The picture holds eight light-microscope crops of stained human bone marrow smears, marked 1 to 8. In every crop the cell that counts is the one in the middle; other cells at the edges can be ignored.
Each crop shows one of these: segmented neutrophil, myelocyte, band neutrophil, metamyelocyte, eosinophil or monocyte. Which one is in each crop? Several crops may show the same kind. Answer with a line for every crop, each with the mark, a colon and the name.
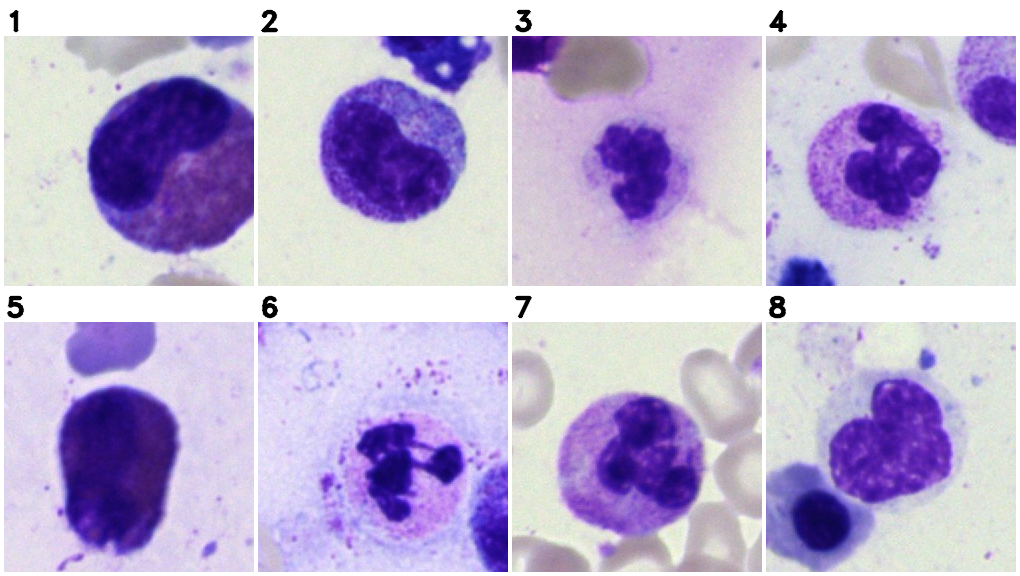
1: eosinophil
2: metamyelocyte
3: segmented neutrophil
4: segmented neutrophil
5: eosinophil
6: segmented neutrophil
7: segmented neutrophil
8: metamyelocyte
